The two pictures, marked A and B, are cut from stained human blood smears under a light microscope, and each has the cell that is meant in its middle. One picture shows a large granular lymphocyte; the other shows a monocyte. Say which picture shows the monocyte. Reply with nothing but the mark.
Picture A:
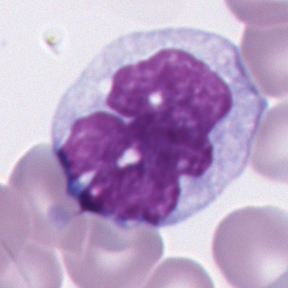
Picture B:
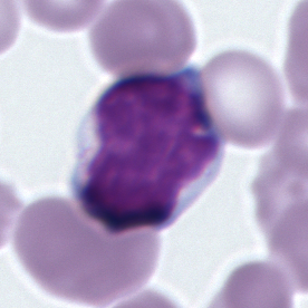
A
